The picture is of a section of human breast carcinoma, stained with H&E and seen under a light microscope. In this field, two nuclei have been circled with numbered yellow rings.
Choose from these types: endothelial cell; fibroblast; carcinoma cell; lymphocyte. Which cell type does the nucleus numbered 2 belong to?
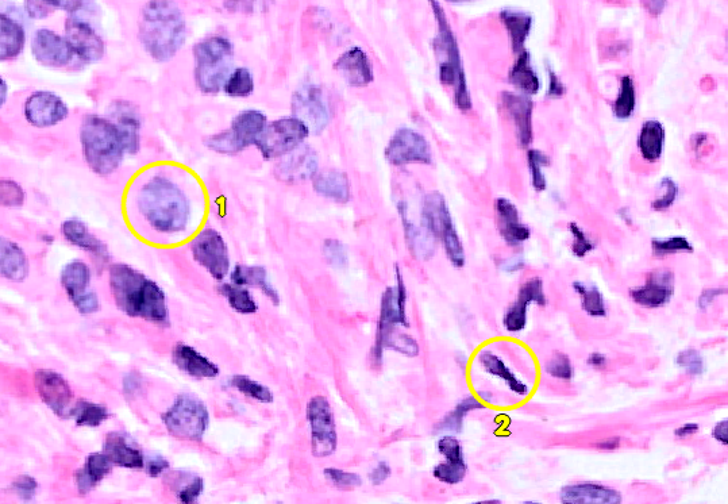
fibroblast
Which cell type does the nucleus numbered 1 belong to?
carcinoma cell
